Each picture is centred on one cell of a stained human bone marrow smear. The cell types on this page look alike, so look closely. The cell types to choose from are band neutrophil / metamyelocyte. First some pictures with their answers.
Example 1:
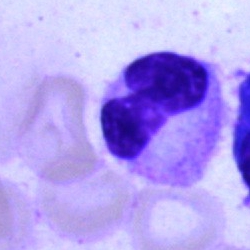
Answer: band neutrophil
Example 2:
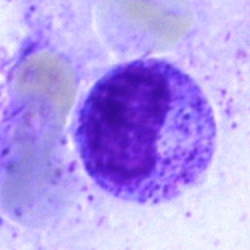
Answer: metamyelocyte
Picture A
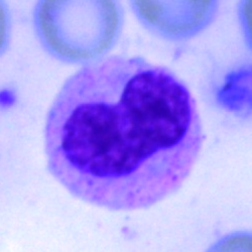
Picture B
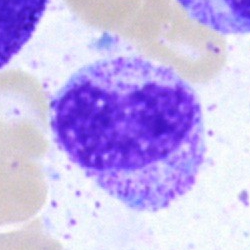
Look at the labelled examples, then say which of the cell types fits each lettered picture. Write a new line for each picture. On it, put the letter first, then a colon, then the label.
A: metamyelocyte
B: metamyelocyte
